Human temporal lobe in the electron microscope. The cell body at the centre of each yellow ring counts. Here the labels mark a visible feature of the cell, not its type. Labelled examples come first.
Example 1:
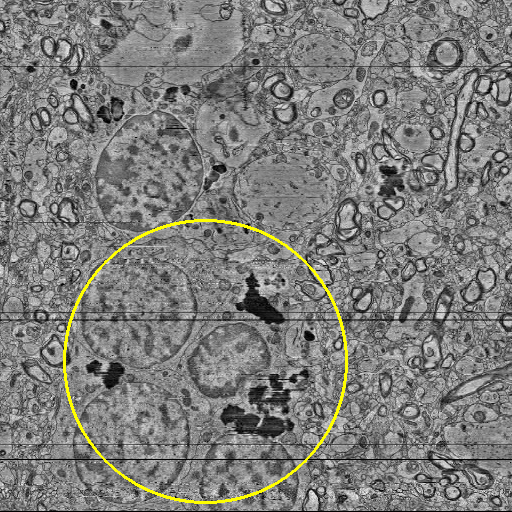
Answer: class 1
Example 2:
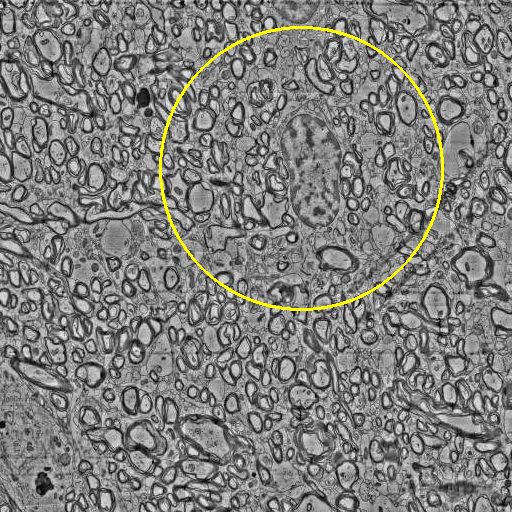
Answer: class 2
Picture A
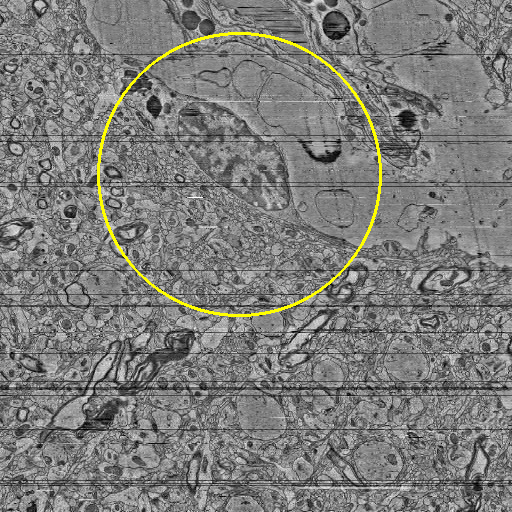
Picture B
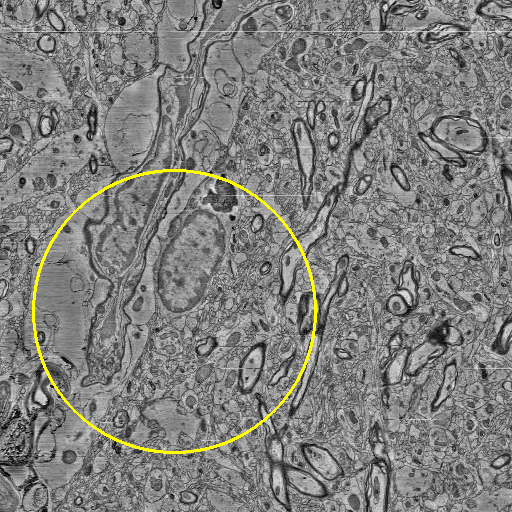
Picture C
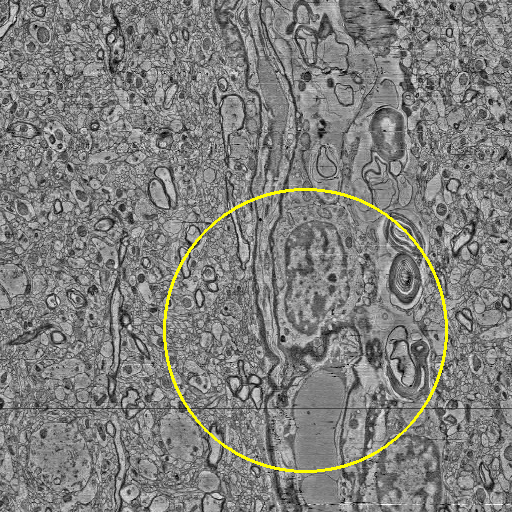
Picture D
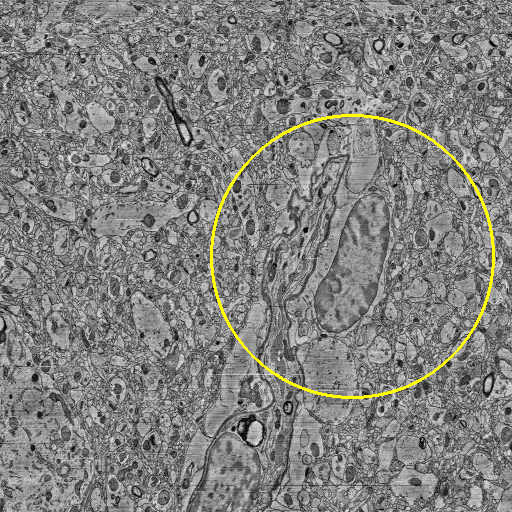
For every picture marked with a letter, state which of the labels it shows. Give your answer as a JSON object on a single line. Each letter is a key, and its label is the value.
{"A": "class 2", "B": "class 2", "C": "class 2", "D": "class 2"}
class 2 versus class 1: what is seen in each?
class 2, clearly elongated nuclei; class 1, round or nearly round nuclei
